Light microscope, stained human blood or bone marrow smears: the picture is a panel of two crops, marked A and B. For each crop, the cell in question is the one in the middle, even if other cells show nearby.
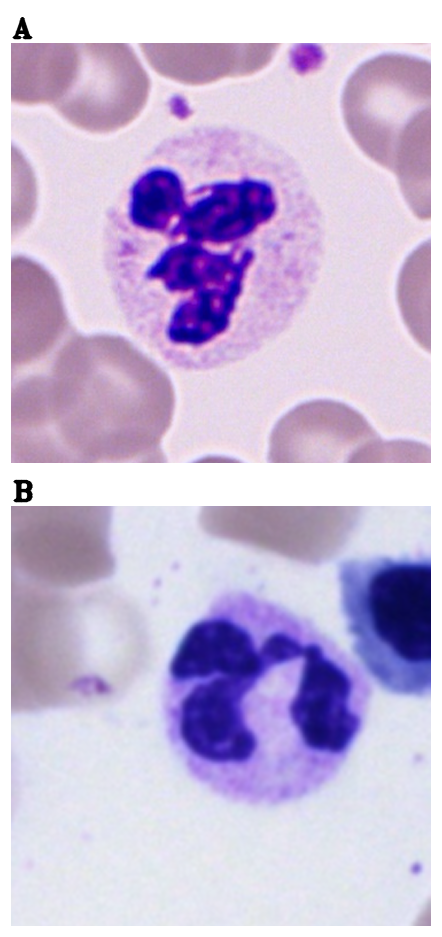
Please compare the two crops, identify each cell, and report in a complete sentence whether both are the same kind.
Yes, the cells found in the middle of both crops are neutrophils.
